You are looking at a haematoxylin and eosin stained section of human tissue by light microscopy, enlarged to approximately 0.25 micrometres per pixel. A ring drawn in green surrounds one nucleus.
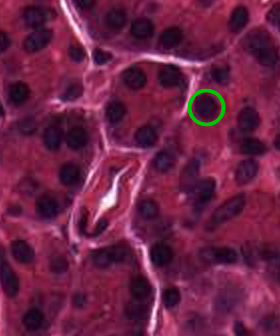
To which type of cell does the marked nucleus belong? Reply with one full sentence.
The marked nucleus is identified as belonging to a pancreatic acinar cell.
